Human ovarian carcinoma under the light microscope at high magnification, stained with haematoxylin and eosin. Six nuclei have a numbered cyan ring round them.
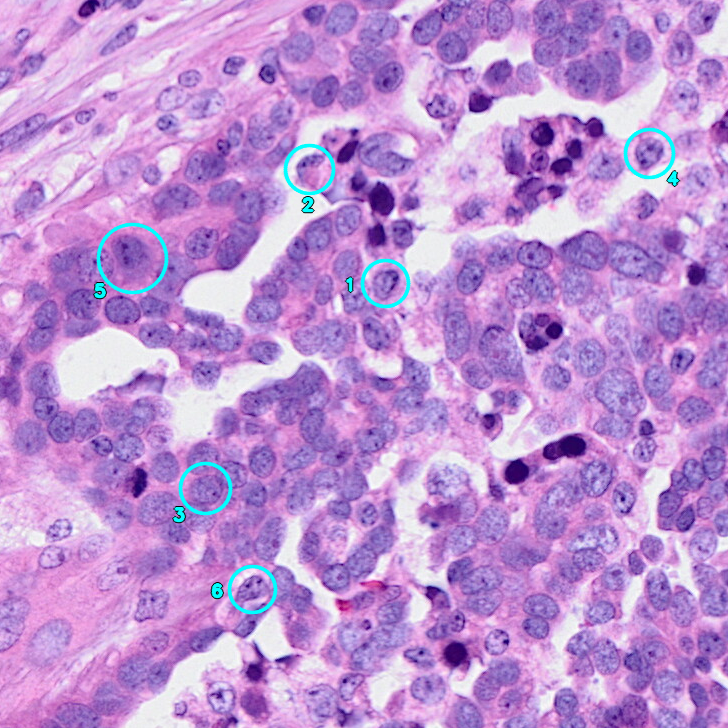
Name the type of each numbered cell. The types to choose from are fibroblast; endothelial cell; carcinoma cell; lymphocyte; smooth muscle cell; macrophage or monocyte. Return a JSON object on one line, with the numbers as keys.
{"1": "macrophage or monocyte", "2": "macrophage or monocyte", "3": "carcinoma cell", "4": "macrophage or monocyte", "5": "carcinoma cell", "6": "macrophage or monocyte"}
